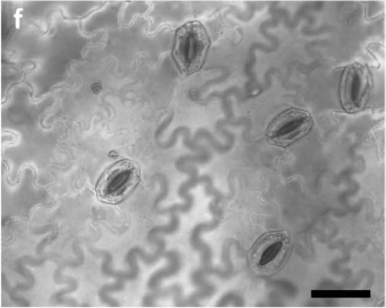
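This leaf epidermal peel shows several stomata set among wavy-walled epidermal pavement cells. Each stoma consists of a pair of curved guard cells enclosing a dark, elongated central pore. The surrounding pavement cells interlock along lobed, undulating walls that appear as dark outlines. The stomata are spread across the field, separated from one another by at least one pavement cell.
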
